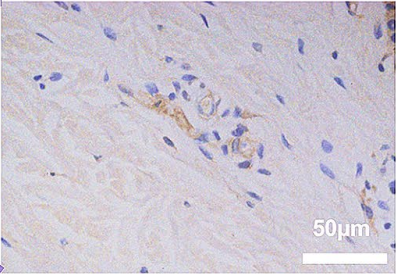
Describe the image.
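Fine, pale collagen fibres run in loose wavy bundles, and between them lie scattered blue nuclei of connective tissue cells, many elongated and spindle-shaped, others rounder. Elsewhere the fibres are almost unstained, and the cells are sparse with wide spaces of matrix between them.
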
